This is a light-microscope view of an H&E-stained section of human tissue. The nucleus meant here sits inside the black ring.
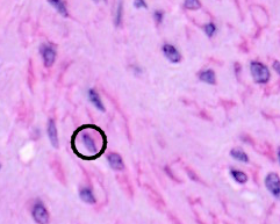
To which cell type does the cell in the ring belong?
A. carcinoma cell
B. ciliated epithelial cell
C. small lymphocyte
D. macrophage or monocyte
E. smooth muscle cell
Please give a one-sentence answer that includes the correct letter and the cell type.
Option E gives the correct identity of the cell in the ring, which is a smooth muscle cell.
